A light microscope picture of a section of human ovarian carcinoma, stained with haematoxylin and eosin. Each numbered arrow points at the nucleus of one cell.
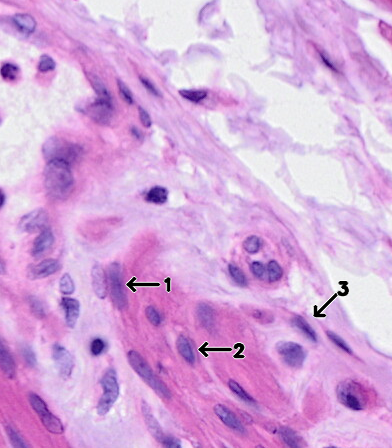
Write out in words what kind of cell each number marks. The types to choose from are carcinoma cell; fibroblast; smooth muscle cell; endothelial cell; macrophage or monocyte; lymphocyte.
Cell 1 is a smooth muscle cell, cell 2 is a smooth muscle cell and cell 3 is a fibroblast.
